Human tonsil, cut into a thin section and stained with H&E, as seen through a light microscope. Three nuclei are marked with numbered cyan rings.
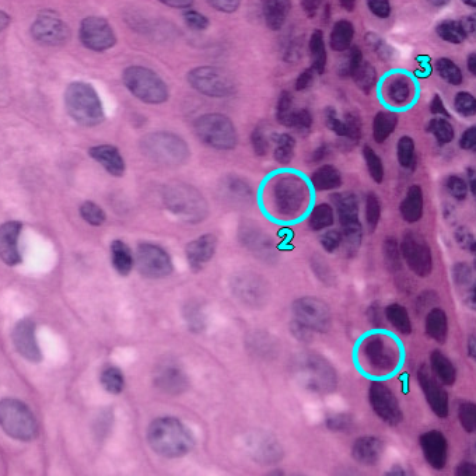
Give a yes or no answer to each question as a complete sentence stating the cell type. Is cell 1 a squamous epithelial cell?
Yes, the marked cell with number 1 is a squamous epithelial cell.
